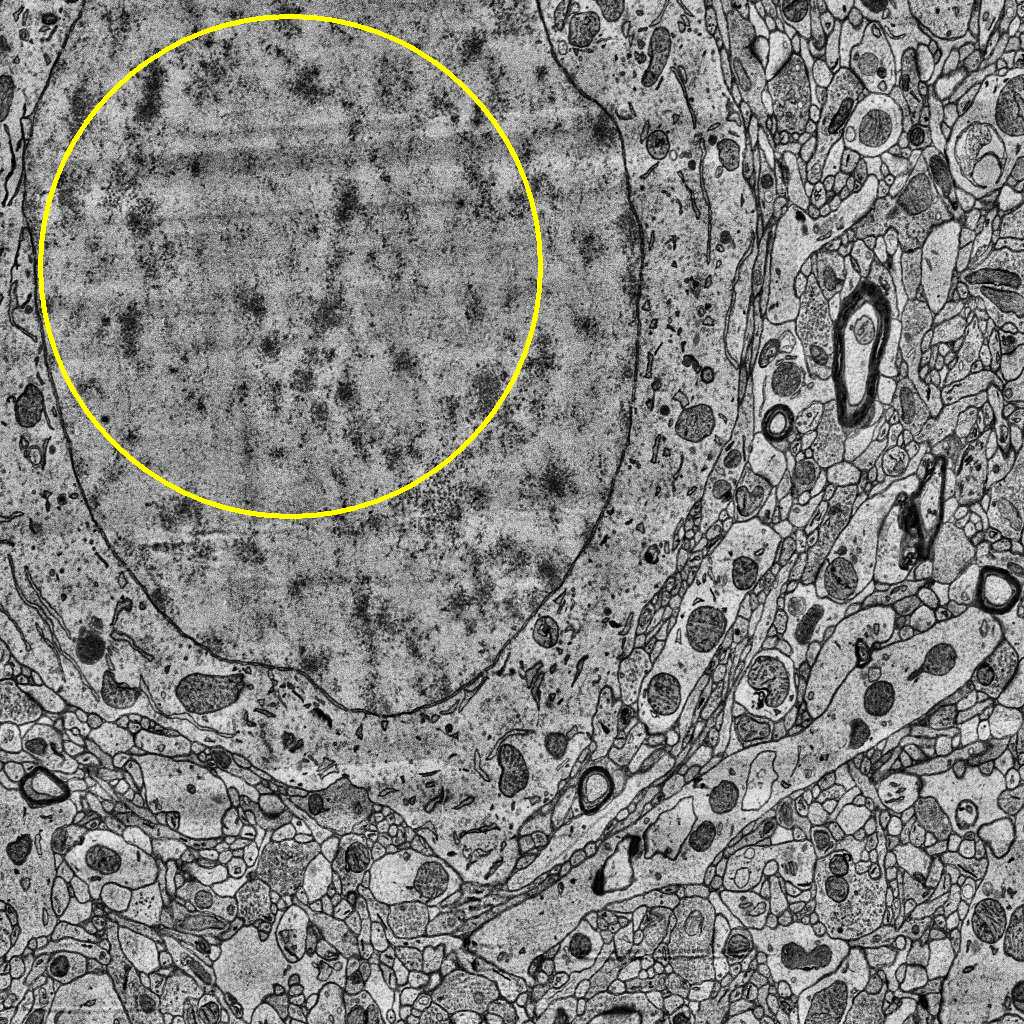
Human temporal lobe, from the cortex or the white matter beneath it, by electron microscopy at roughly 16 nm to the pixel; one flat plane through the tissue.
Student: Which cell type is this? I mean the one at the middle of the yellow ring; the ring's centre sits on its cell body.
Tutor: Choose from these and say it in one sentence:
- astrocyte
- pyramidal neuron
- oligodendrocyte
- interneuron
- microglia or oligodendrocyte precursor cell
The cell at the ring's centre is a pyramidal neuron.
